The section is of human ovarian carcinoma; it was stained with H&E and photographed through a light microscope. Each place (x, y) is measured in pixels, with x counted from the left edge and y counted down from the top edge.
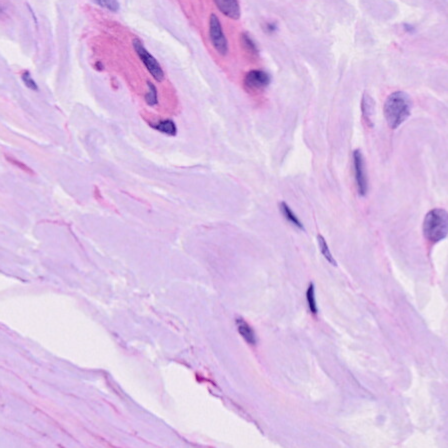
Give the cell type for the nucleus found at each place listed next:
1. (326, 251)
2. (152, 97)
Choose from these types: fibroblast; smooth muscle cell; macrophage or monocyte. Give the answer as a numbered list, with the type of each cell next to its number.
1. fibroblast
2. smooth muscle cell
